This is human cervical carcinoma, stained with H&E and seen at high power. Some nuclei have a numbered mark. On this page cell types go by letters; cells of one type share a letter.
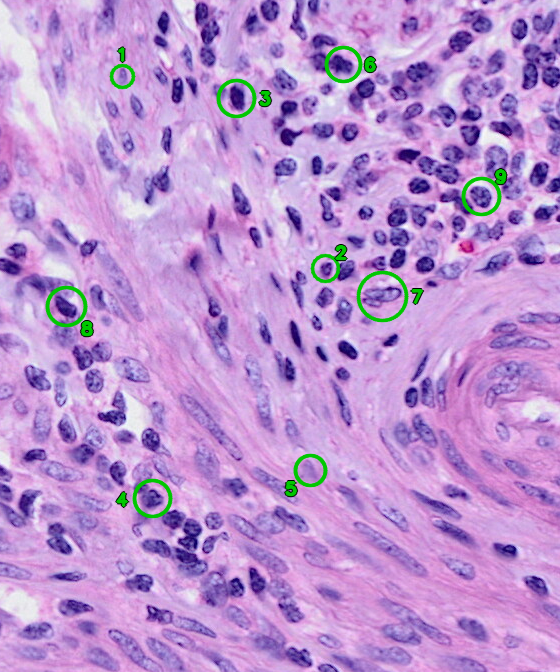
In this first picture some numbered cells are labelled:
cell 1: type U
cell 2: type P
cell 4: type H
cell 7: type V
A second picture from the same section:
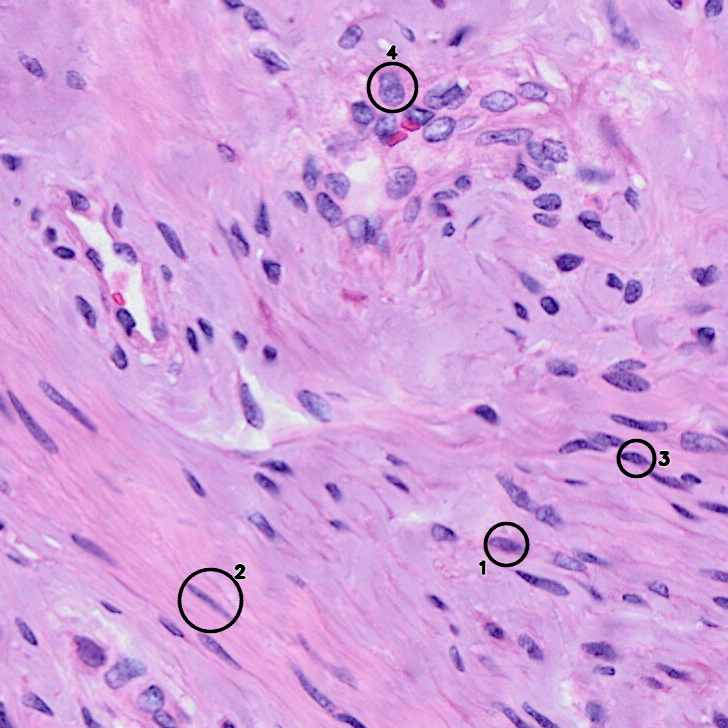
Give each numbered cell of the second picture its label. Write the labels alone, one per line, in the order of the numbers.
type U
type P
type P
type V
